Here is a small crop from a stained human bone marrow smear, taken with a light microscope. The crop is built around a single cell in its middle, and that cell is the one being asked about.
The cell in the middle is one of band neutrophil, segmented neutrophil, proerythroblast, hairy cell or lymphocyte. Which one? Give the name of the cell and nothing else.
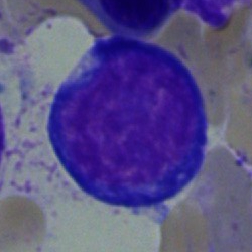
proerythroblast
